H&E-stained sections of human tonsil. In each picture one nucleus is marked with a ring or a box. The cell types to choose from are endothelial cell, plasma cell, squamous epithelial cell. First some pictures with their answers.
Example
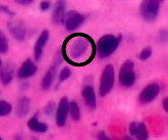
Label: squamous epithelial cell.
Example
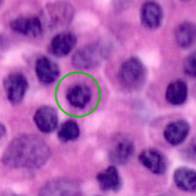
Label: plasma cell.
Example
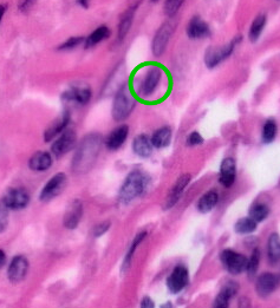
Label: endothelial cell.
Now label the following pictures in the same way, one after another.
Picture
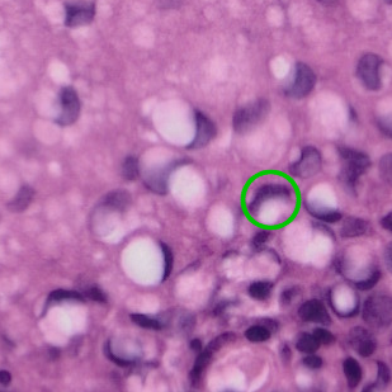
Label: squamous epithelial cell.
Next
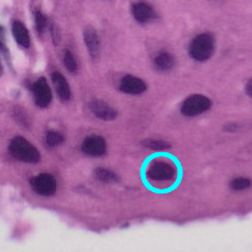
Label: squamous epithelial cell.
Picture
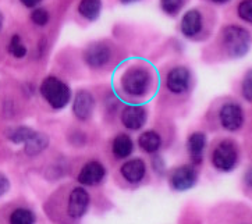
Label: plasma cell.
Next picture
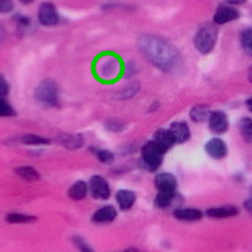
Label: endothelial cell.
